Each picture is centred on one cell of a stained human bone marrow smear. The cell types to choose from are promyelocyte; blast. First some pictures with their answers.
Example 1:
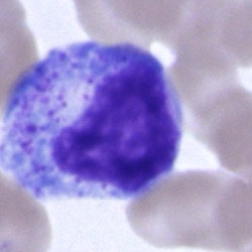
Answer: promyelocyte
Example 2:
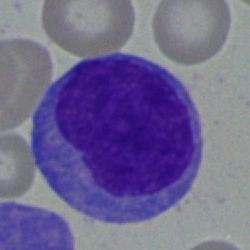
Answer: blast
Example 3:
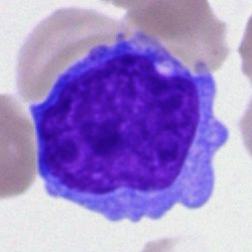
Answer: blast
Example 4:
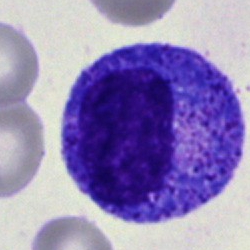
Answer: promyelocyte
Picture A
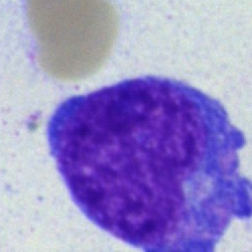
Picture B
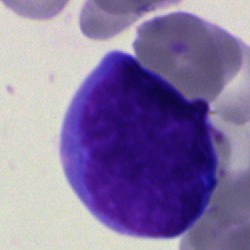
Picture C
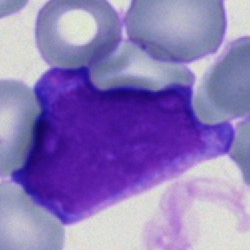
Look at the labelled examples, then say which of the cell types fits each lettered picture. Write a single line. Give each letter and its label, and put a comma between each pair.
A blast, B blast, C blast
